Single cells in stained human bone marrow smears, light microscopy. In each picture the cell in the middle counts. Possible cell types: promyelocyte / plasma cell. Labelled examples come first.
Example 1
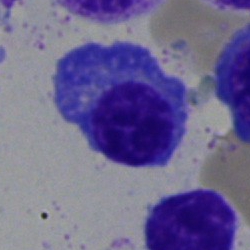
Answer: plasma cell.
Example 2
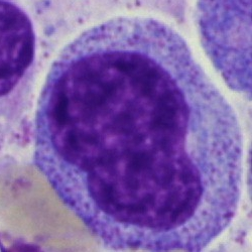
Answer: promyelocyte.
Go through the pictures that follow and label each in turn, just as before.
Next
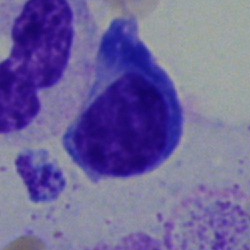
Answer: plasma cell.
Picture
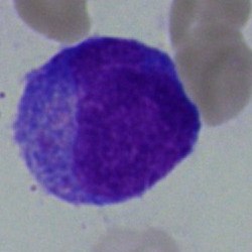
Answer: promyelocyte.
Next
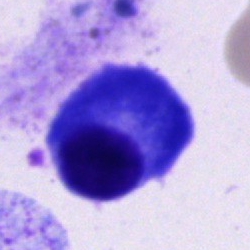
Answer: plasma cell.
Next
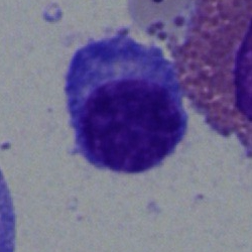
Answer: plasma cell.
